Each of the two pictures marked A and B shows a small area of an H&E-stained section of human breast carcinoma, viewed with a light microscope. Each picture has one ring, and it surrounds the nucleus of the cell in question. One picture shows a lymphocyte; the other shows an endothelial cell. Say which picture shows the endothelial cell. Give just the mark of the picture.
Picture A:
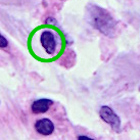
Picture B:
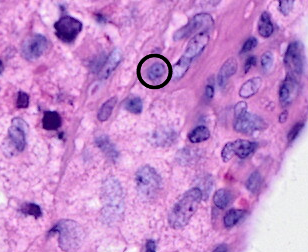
B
